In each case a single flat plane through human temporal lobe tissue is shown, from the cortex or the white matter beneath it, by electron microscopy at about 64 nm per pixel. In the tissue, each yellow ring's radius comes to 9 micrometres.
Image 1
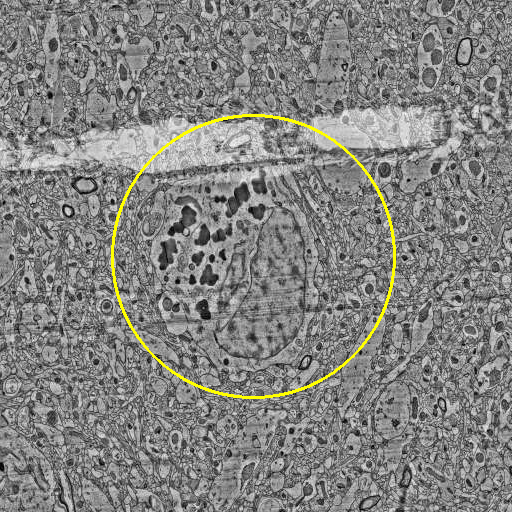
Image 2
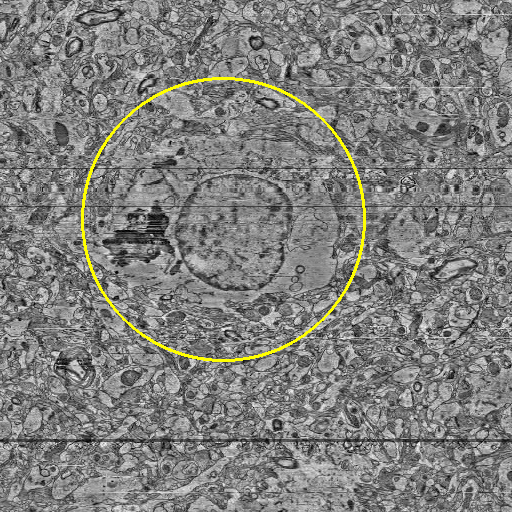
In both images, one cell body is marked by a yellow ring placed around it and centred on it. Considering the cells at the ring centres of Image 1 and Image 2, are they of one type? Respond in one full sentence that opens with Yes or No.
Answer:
No, two types apply to the ring-centred cells of Image 1 and Image 2.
